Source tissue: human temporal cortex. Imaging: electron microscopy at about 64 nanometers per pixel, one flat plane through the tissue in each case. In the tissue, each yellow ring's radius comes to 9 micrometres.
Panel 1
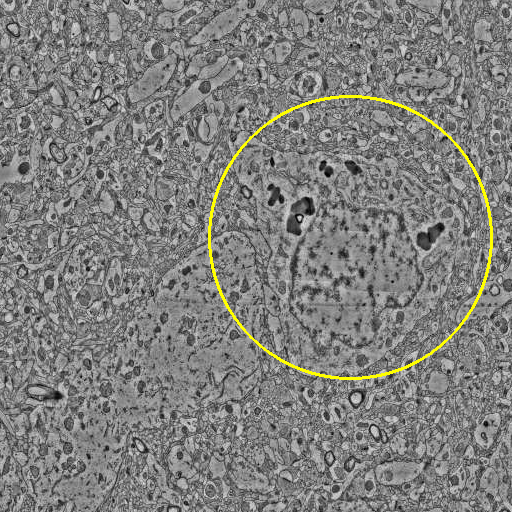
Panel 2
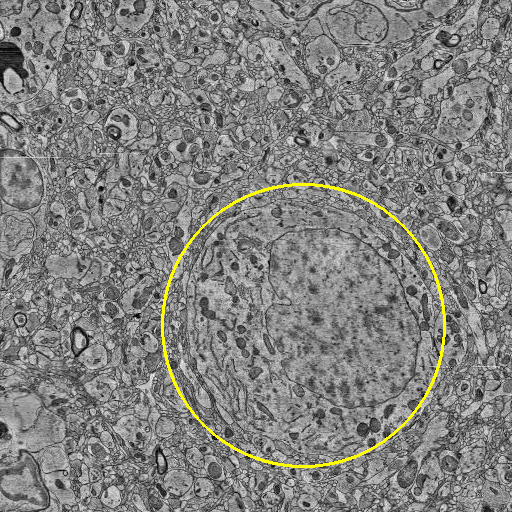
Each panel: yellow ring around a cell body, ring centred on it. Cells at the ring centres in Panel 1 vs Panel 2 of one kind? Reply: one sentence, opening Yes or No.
Yes, Panel 1 and Panel 2 have cells of one kind at the ring centres.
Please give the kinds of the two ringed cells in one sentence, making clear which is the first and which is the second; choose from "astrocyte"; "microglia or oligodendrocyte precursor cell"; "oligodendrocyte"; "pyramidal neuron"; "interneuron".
Each of the two rings is centred on an interneuron.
